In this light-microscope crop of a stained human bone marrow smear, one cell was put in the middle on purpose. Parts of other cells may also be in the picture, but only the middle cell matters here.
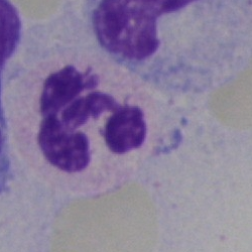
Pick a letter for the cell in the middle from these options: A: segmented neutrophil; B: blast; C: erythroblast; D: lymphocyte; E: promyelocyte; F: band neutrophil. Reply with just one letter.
A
